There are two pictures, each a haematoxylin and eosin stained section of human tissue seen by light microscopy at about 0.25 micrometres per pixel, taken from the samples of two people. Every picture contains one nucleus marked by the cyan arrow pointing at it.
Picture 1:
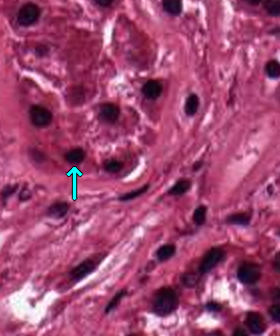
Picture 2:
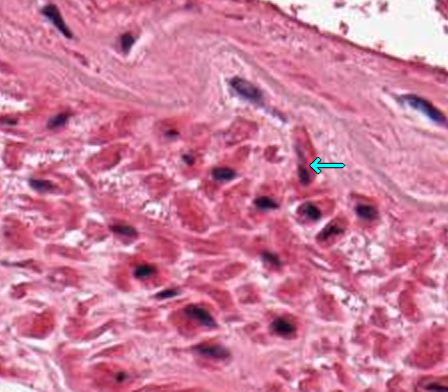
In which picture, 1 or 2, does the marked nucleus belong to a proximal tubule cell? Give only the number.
1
